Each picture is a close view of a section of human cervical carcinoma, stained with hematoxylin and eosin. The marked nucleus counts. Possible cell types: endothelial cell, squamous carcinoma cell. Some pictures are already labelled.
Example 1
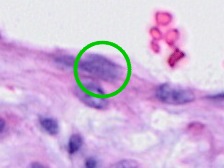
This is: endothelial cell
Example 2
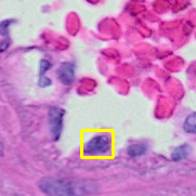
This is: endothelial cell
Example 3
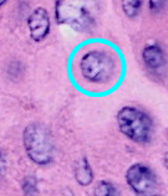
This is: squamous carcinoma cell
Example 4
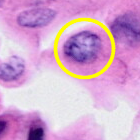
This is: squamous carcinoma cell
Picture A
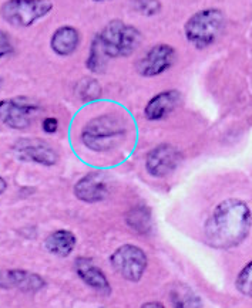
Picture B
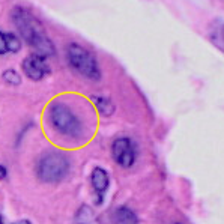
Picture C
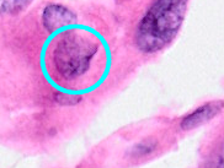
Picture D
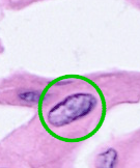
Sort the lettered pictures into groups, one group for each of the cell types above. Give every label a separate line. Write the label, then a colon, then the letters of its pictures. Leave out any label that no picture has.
squamous carcinoma cell: A, B, C, D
